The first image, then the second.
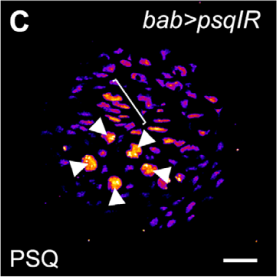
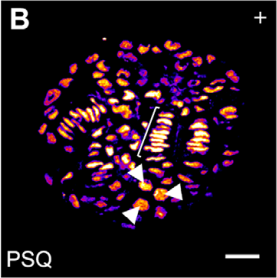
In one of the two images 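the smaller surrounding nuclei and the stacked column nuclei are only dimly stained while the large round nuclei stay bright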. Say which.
The first image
